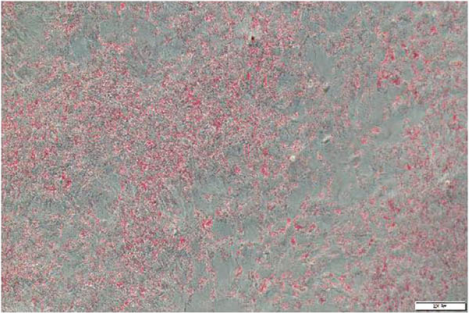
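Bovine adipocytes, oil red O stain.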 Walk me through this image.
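The cells form a confluent layer, many of them elongated and lying side by side in loose streams. Fine red dots are spread through much of the field, often gathered in small patches, and in some areas they are sparse. No large, compact red clusters stand out. The red appears as small specks rather than as big droplets filling whole cells, so most cells look lightly dotted with red rather than filled with it.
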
